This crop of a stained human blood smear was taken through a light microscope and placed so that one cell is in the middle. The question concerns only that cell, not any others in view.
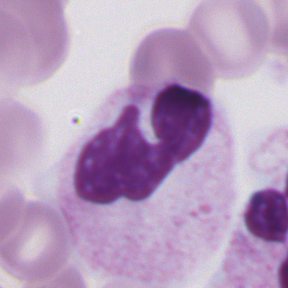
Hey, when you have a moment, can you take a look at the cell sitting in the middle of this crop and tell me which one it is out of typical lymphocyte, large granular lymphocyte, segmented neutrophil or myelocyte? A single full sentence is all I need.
The centrally located cell in the crop is a segmented neutrophil.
